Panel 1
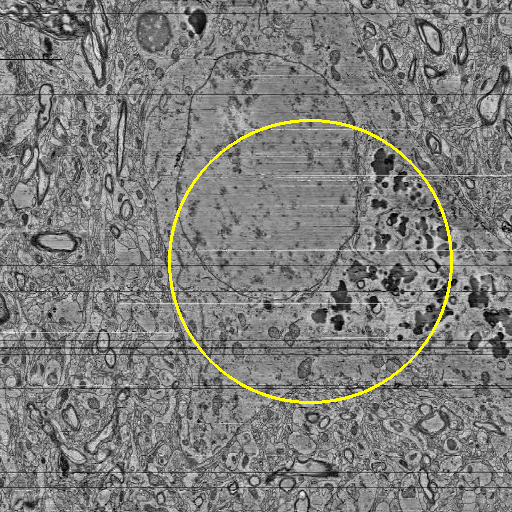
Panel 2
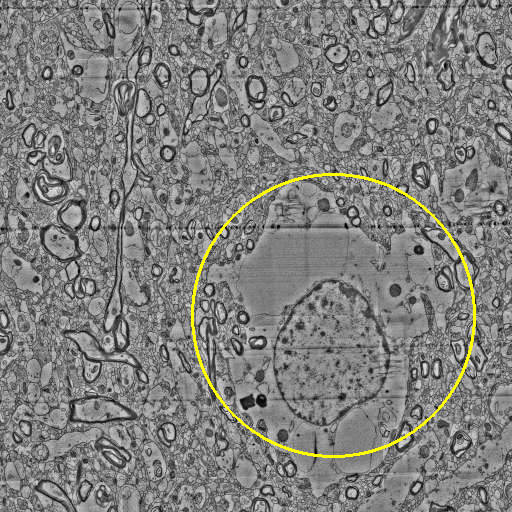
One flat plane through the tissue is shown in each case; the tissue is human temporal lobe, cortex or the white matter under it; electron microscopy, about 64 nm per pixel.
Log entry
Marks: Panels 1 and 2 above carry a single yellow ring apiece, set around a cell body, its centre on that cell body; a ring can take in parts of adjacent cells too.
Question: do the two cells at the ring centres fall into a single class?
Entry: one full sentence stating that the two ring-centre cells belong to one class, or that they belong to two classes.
The two ring-centre cells in Panels 1 and 2 belong to two classes.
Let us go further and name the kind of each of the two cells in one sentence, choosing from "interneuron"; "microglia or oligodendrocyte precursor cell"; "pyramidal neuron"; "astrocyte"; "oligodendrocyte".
The ring of the first picture is on a pyramidal neuron, the ring of the second on an astrocyte.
